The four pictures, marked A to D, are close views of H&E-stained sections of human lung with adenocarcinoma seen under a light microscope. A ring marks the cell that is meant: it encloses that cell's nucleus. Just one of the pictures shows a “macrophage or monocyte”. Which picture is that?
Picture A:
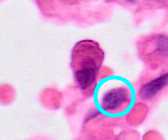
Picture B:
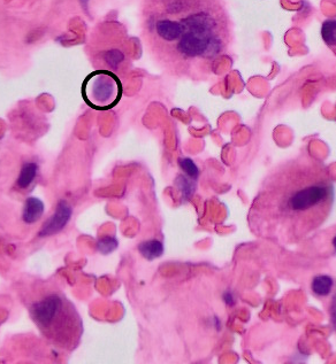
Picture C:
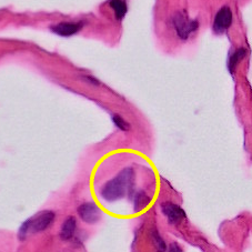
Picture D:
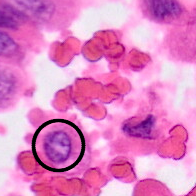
D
